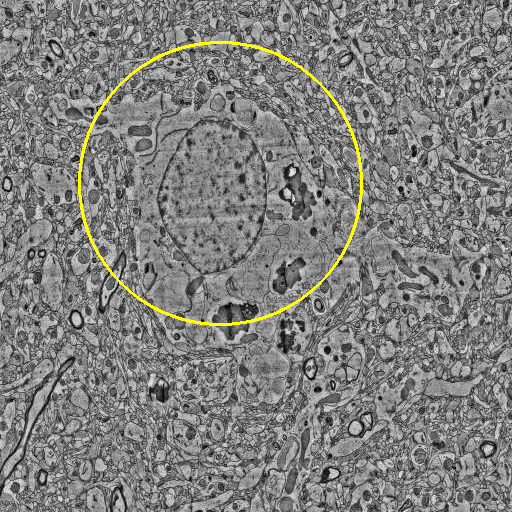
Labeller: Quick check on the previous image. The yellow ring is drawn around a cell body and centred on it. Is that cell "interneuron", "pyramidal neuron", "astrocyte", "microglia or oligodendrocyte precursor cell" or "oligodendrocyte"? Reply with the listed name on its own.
astrocyte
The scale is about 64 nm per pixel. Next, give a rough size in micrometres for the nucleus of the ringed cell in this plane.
In this plane, about 10 micrometres in length and 7 in width.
